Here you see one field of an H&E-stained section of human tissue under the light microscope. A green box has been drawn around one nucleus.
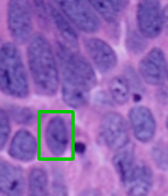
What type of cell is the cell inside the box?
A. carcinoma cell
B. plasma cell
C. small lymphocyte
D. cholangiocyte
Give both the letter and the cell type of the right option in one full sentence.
It is option A that is correct, the cell inside the box being a carcinoma cell.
